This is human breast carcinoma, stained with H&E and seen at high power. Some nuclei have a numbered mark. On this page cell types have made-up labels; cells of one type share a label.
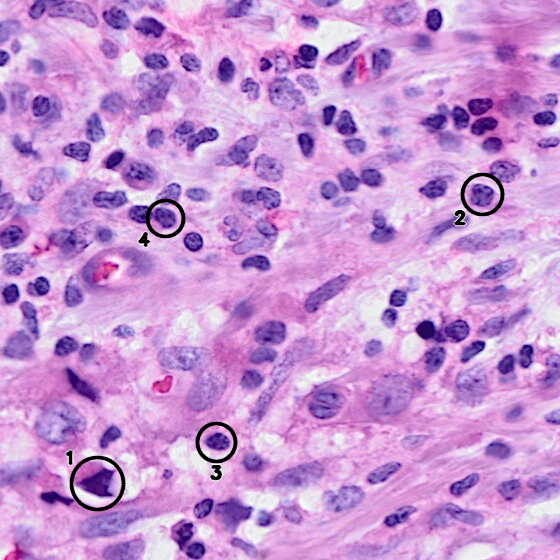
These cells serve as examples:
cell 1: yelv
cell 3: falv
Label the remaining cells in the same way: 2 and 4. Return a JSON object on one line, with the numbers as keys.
{"2": "falv", "4": "falv"}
